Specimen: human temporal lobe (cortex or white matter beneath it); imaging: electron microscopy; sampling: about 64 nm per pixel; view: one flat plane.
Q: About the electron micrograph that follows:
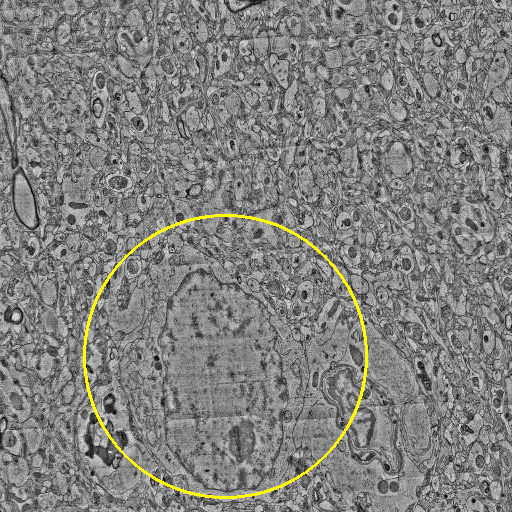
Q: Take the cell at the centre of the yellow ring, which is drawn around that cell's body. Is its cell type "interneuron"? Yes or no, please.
Yes, its type is that one.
